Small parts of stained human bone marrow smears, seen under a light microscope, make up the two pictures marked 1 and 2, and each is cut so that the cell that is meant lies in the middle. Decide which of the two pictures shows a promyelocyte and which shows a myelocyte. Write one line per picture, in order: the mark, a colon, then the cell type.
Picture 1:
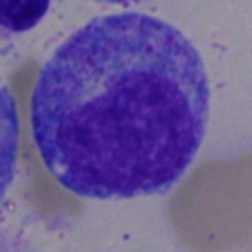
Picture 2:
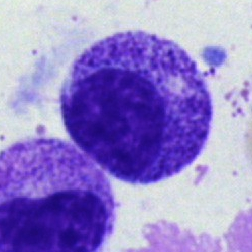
1: promyelocyte
2: myelocyte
